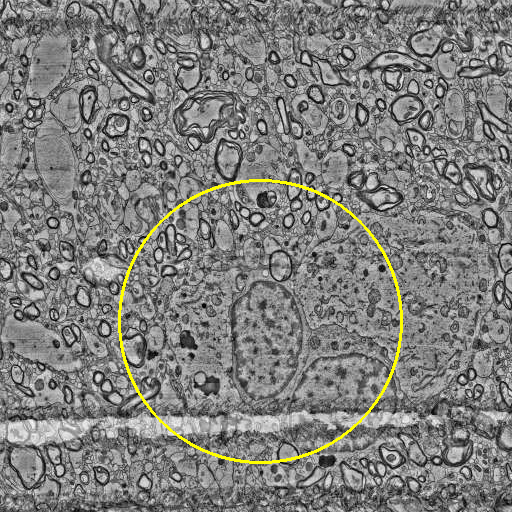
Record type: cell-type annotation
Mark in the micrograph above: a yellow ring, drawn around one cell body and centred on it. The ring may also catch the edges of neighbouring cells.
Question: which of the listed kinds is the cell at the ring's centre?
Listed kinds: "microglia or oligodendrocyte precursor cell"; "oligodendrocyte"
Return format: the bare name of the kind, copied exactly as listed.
oligodendrocyte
